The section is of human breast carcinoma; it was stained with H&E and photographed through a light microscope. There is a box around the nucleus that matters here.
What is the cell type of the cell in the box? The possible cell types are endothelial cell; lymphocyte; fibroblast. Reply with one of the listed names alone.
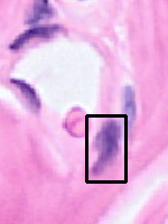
endothelial cell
